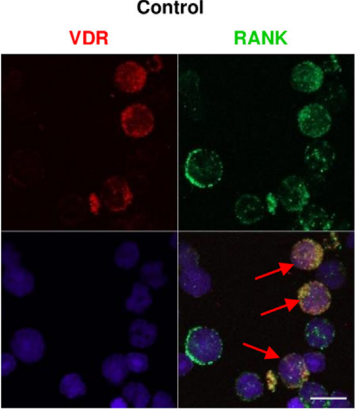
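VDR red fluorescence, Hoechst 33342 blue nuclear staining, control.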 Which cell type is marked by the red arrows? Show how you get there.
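The arrowed cells are round, each with a single blue nucleus. Green and red overlap to yellow-orange in the arrowed cells in the merged image.
Conclusion: mononuclear osteoclast precursors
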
